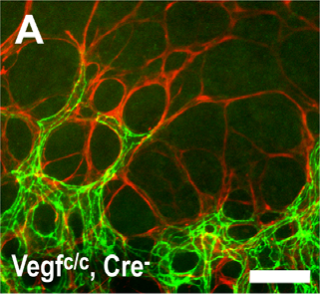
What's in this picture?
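Flat view of developing retina showing the leading edge of a growing vascular plexus laid over a network of astrocytes. Toward the top, the green network becomes sparse and thin extensions reach upward.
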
